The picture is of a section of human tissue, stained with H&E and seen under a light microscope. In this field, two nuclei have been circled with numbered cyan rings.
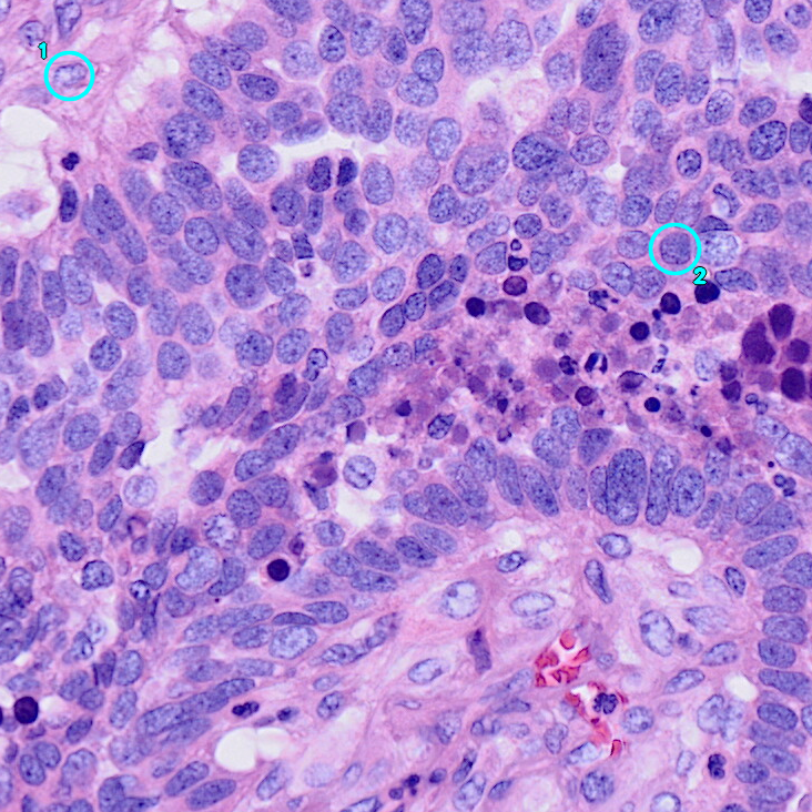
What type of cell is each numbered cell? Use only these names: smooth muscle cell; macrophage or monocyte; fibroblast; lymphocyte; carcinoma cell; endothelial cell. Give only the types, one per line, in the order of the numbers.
fibroblast
carcinoma cell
